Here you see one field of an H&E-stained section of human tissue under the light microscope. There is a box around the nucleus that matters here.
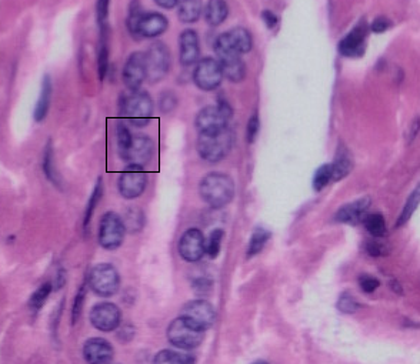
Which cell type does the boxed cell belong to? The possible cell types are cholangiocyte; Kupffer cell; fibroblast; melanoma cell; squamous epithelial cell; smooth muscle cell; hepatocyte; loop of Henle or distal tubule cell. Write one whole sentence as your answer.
Typologically, the boxed cell is a cholangiocyte in this section.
